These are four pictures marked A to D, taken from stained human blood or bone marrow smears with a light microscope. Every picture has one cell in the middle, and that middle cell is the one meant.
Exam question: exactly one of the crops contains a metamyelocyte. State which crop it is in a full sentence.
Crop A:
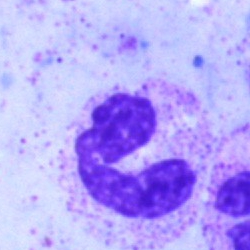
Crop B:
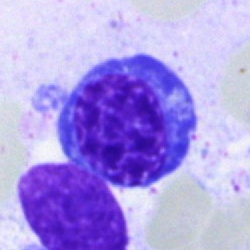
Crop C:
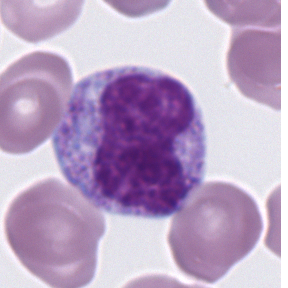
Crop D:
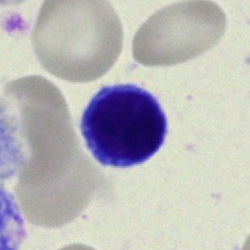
The cell at the center of crop C is the one that is a metamyelocyte.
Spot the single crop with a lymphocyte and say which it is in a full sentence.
So the crop with a lymphocyte at its center is crop D.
